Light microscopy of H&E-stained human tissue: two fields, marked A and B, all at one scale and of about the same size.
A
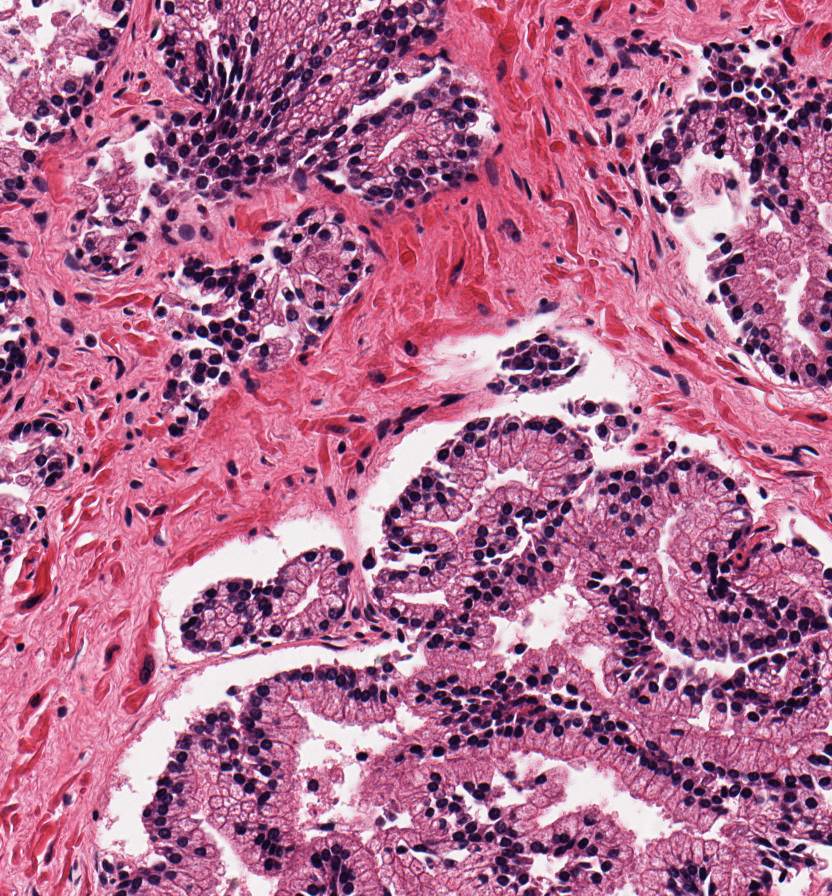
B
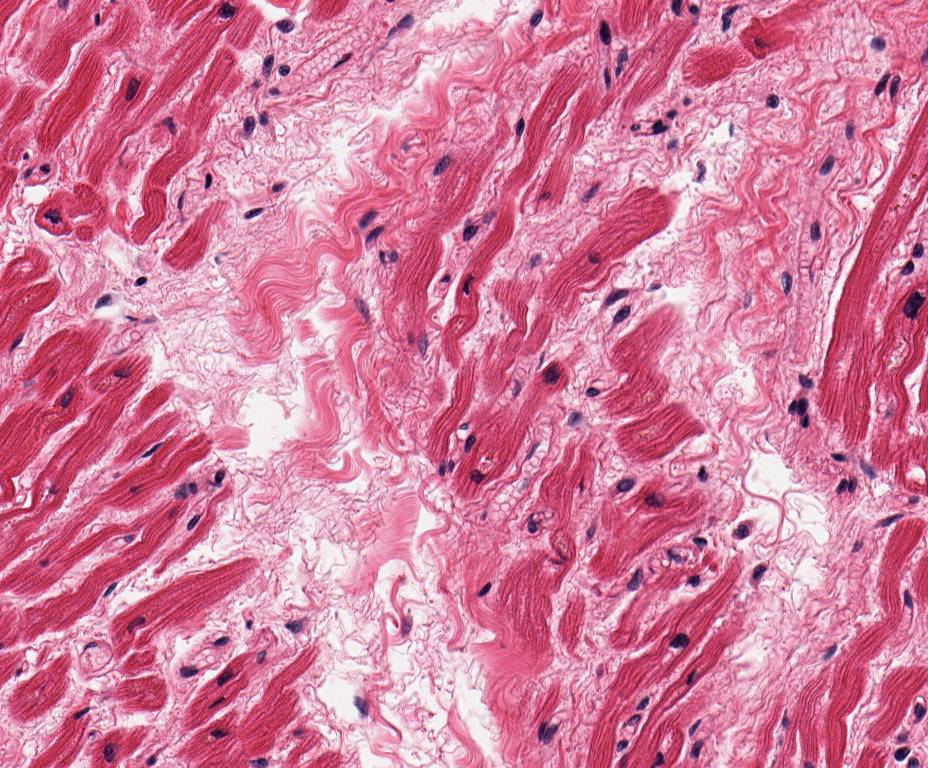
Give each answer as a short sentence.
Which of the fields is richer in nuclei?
It is field A that has more nuclei in it.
